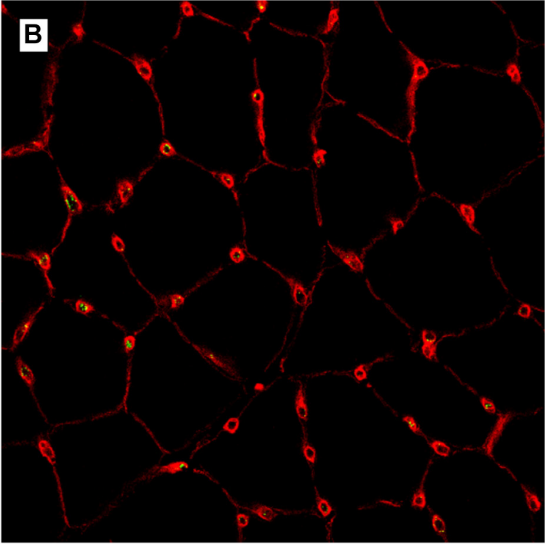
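This is a cross-section of muscle showing large polygonal muscle fibers with dark, even interiors, separated by thin red borders. At the junctions between fibers there are many small round capillary profiles, seen as bright red rings, some with a speck of green inside. Several capillaries sit around the margin of each fiber, so each fiber is surrounded by a ring of them. The red borders thicken slightly where the capillaries lie, and a few elongated red streaks run along the fiber edges.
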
